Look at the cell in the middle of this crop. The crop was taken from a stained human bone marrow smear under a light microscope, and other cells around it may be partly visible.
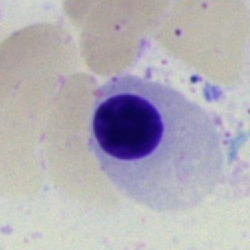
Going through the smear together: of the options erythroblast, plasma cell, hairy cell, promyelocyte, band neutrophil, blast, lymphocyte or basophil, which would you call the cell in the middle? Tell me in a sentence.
In the center of this field lies an erythroblast.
